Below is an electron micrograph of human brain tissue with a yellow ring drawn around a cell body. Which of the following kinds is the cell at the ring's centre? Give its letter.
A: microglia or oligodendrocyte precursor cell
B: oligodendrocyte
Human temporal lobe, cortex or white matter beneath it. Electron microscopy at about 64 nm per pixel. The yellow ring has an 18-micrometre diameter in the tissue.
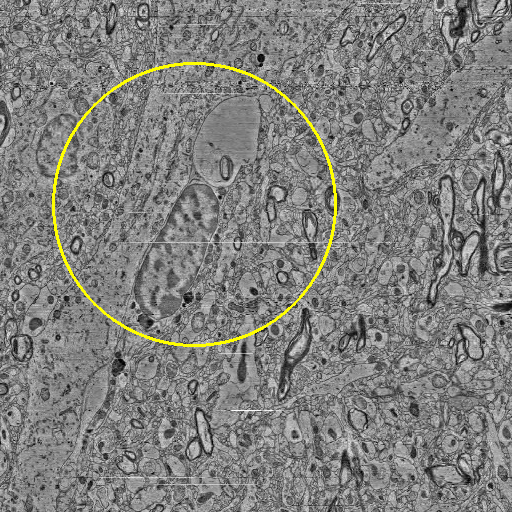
A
